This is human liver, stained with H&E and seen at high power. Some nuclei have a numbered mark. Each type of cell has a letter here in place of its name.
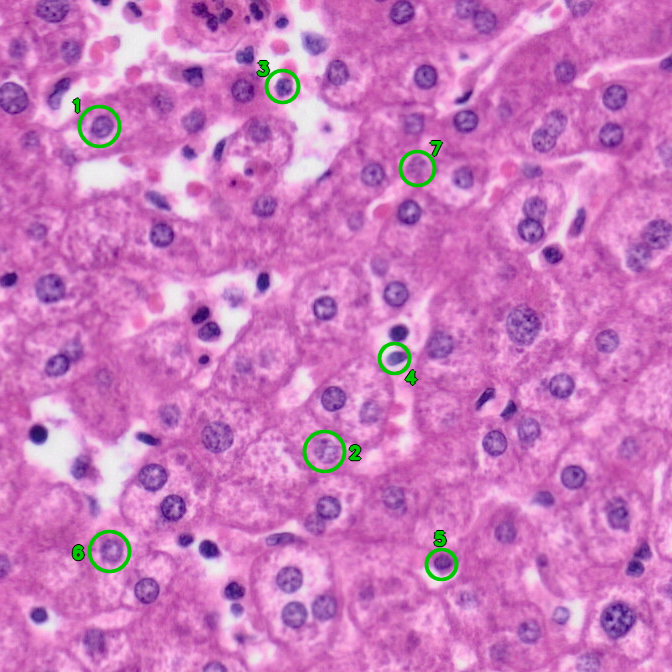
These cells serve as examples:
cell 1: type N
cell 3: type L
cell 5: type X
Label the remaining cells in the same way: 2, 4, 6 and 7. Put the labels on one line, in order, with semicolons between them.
type N; type L; type N; type N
